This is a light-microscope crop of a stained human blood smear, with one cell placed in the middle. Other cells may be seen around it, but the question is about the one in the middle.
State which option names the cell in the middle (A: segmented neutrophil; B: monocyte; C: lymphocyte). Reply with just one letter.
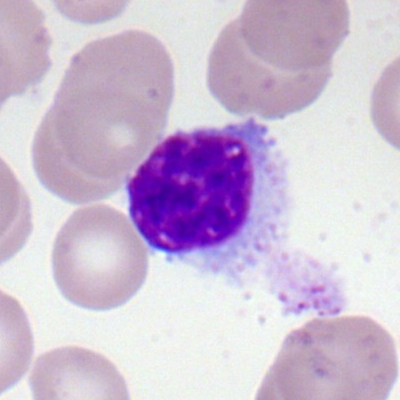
C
